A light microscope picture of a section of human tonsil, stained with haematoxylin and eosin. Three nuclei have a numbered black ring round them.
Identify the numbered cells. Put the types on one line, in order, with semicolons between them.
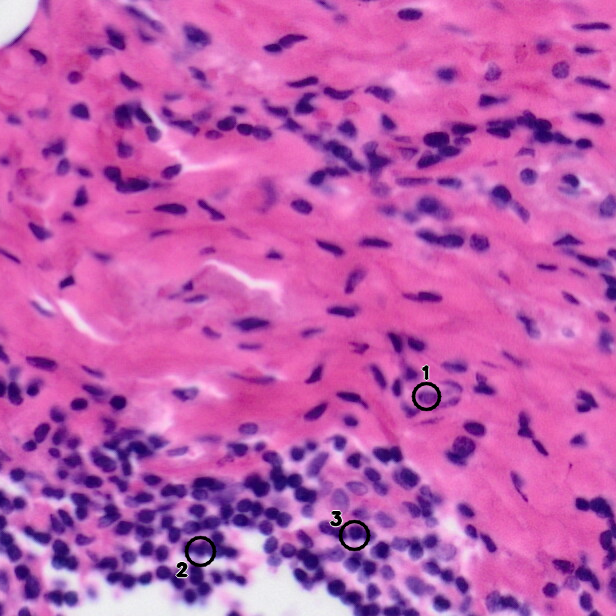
endothelial cell; small lymphocyte; small lymphocyte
